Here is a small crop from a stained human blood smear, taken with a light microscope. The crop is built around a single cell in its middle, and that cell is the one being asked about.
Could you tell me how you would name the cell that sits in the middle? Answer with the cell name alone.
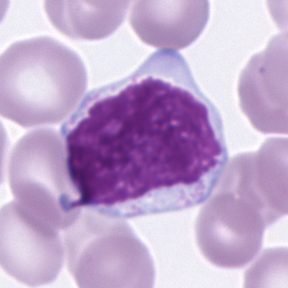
large granular lymphocyte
